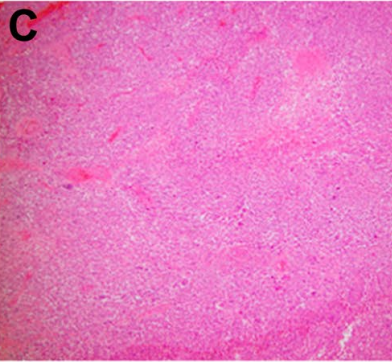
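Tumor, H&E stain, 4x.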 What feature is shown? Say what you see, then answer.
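Densely cellular tissue without glands or clear compartments. Cells spread in a continuous diffuse sheet across the field.
Answer: sheets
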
